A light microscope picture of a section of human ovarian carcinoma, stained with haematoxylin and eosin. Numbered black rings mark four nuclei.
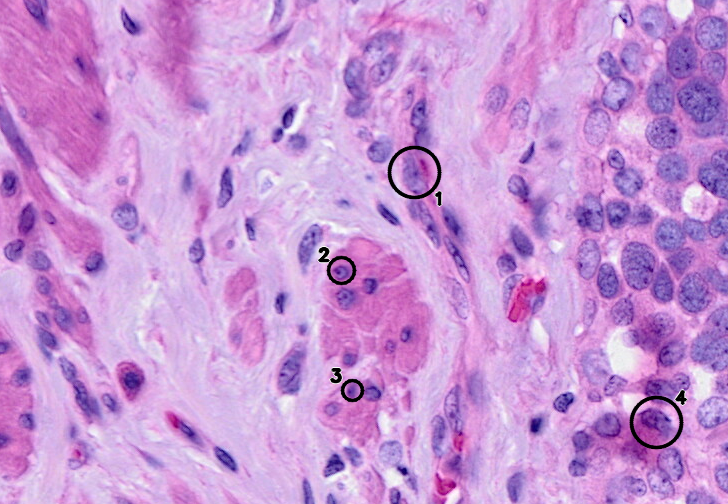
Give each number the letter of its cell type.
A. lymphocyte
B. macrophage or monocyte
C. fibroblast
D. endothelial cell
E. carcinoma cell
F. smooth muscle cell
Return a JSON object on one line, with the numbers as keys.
{"1": "D", "2": "F", "3": "F", "4": "B"}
